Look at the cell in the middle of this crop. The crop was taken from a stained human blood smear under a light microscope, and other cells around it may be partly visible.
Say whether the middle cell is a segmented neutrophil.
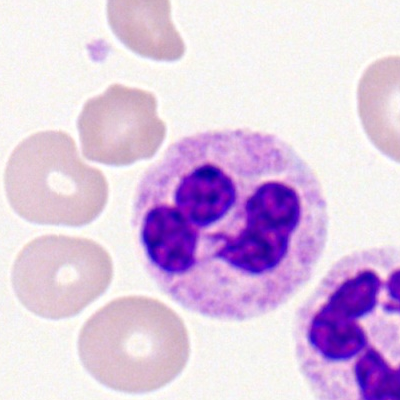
yes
